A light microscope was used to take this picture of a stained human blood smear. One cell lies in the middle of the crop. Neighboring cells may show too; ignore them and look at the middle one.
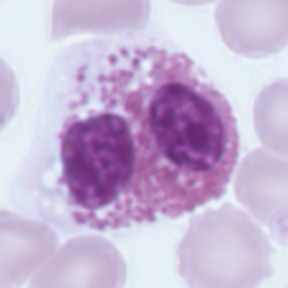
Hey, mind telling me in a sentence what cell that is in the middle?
The cell at the heart of this crop is an eosinophil.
